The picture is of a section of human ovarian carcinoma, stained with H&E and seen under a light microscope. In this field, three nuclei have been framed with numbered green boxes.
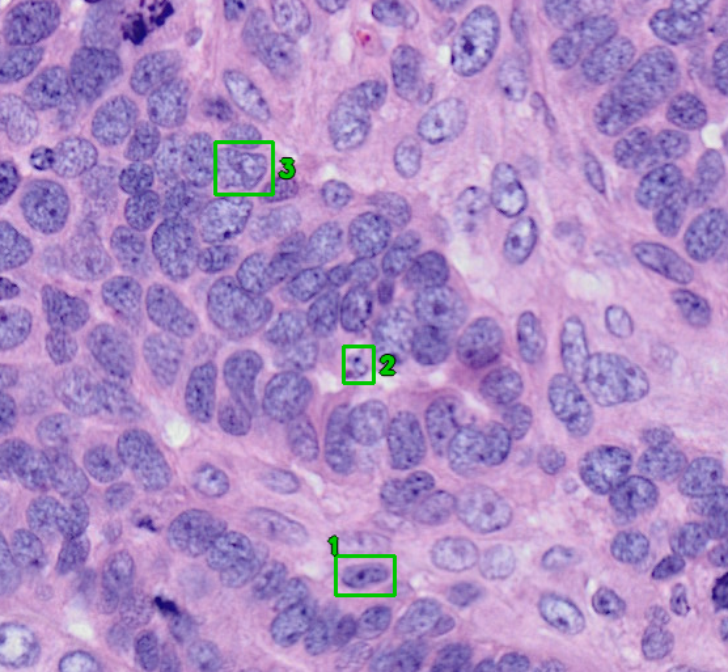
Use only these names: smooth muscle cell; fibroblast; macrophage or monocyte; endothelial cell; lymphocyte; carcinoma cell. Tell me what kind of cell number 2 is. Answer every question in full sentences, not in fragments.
Number 2 is placed on a macrophage or monocyte here.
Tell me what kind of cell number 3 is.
In this section, the cell tagged 3 is a carcinoma cell.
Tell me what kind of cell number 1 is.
The numeral 1 marks a macrophage or monocyte in this section.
